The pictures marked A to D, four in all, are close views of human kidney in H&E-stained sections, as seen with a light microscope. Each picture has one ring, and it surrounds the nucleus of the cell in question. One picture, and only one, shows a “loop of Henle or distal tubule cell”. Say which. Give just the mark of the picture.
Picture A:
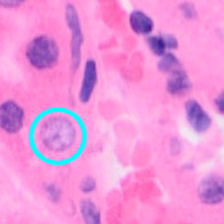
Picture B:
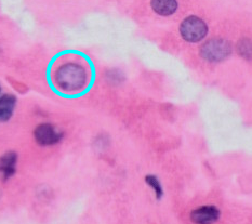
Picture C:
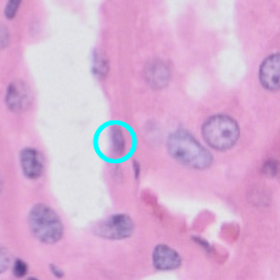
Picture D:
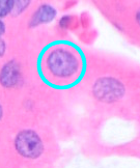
C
